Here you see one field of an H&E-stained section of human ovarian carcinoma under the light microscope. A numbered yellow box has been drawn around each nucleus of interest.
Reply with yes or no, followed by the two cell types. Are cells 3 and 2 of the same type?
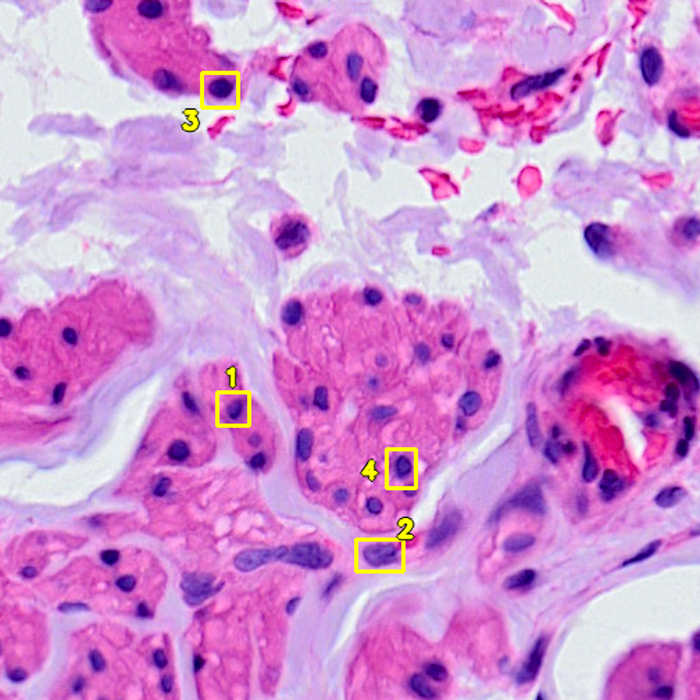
No, what is marked as cell 3 is a smooth muscle cell, and what is marked as cell 2 is an endothelial cell.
